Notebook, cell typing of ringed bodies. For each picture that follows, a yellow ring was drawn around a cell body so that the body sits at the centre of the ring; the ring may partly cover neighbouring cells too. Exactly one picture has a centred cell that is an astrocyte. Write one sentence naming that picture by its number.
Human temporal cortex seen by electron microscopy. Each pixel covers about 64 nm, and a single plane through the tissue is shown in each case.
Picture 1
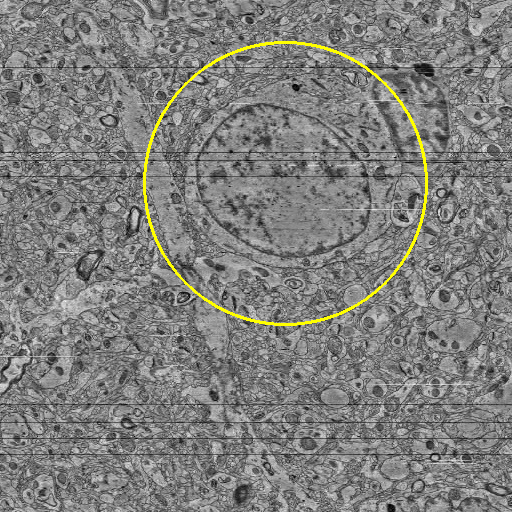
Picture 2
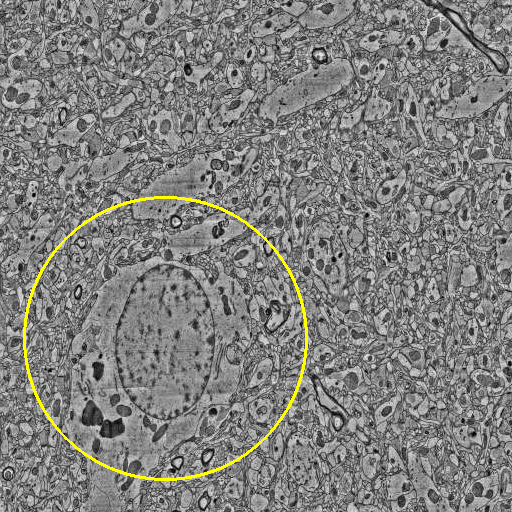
Picture 2 is the one with it at the centre of its ring.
